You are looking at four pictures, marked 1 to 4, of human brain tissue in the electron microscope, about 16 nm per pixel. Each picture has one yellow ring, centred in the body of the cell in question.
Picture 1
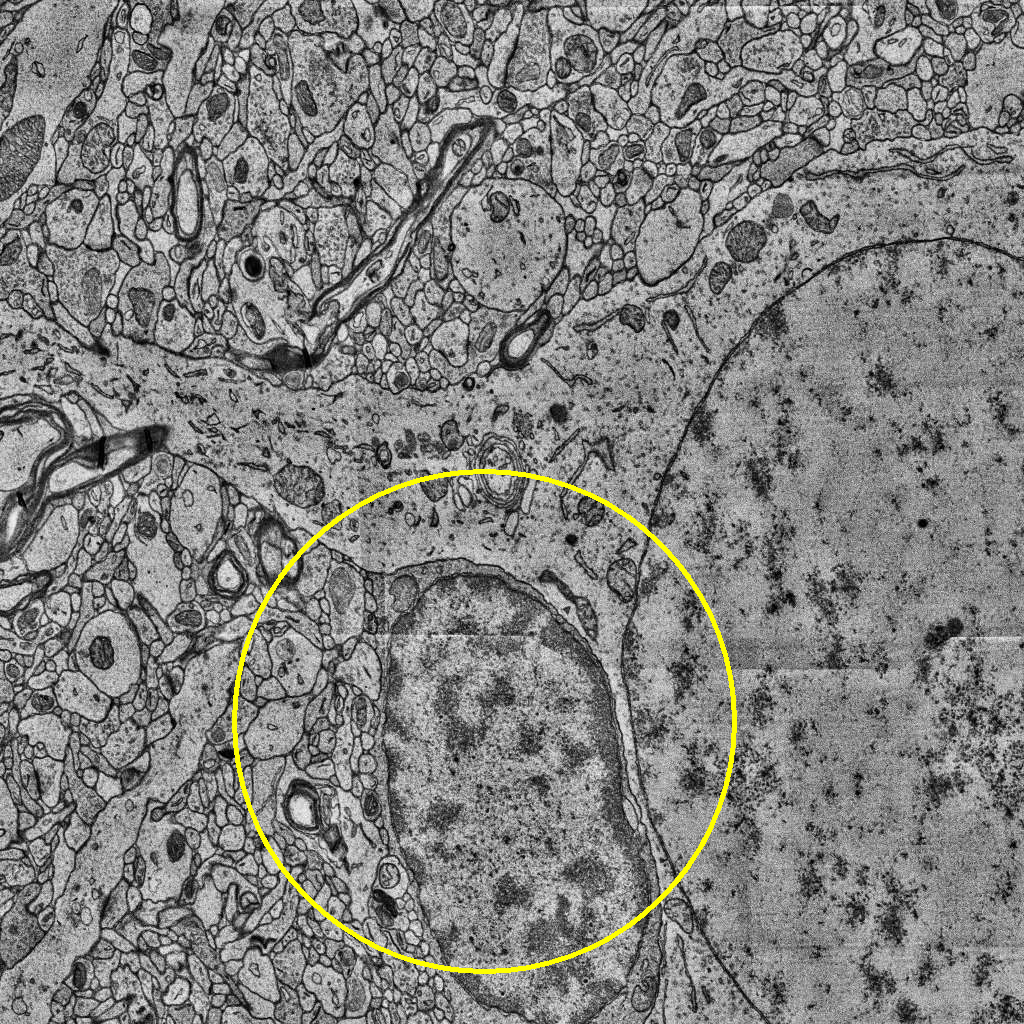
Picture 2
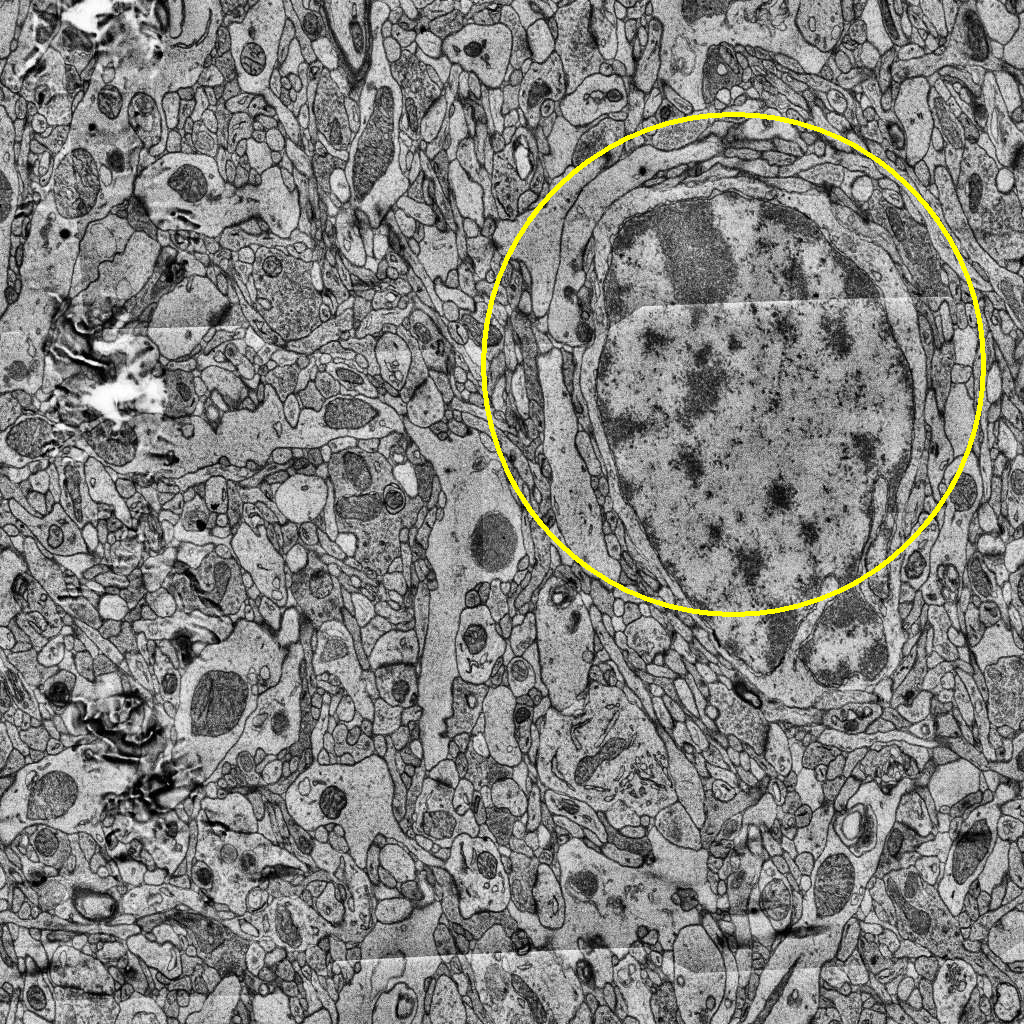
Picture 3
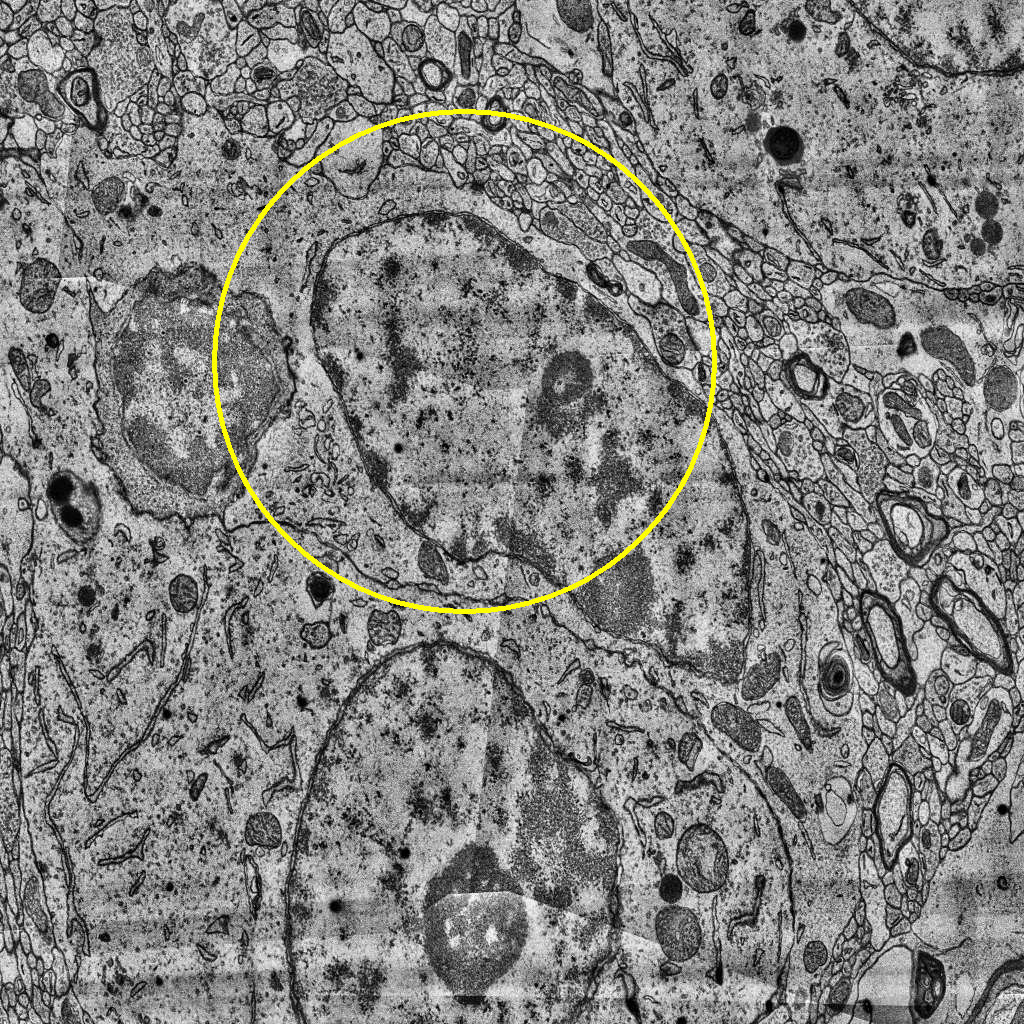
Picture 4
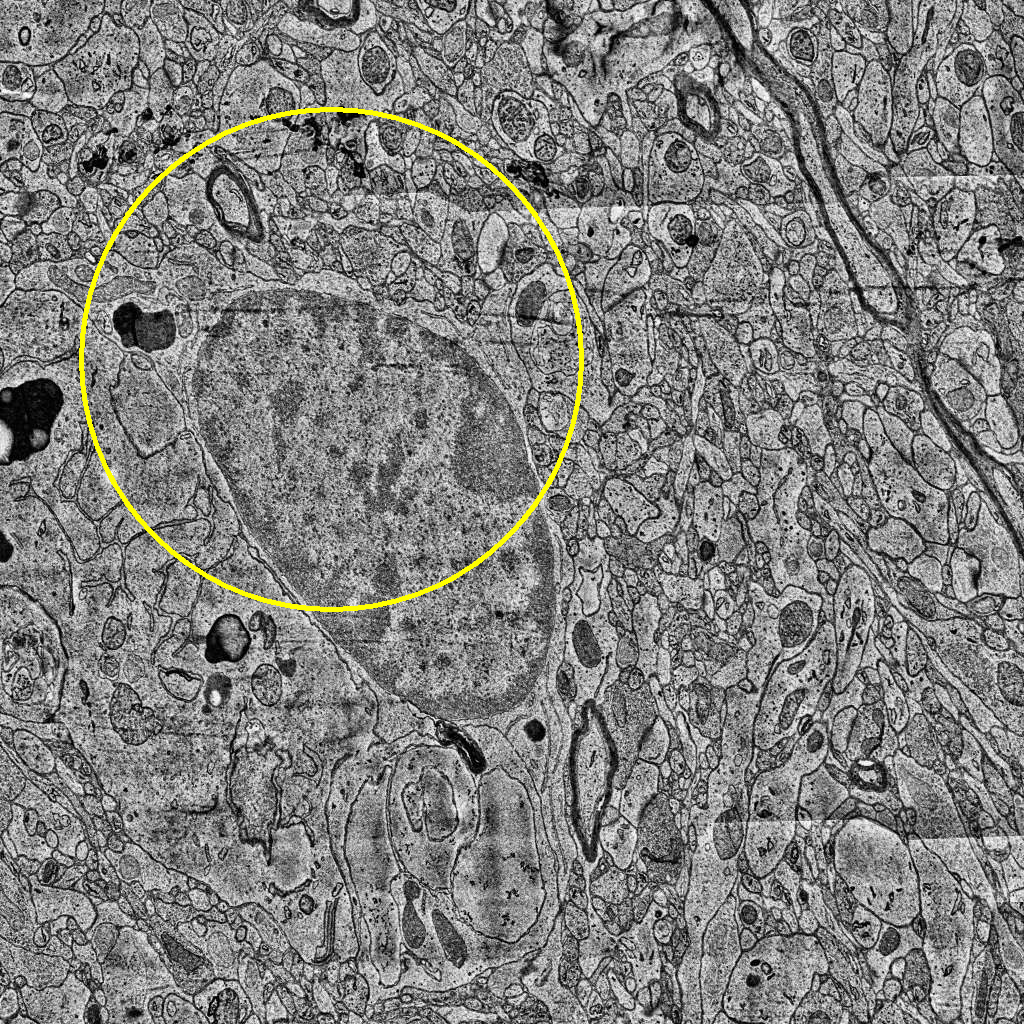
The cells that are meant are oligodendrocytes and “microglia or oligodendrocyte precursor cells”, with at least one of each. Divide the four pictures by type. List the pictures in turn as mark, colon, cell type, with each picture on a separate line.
1: oligodendrocyte
2: microglia or oligodendrocyte precursor cell
3: microglia or oligodendrocyte precursor cell
4: microglia or oligodendrocyte precursor cell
